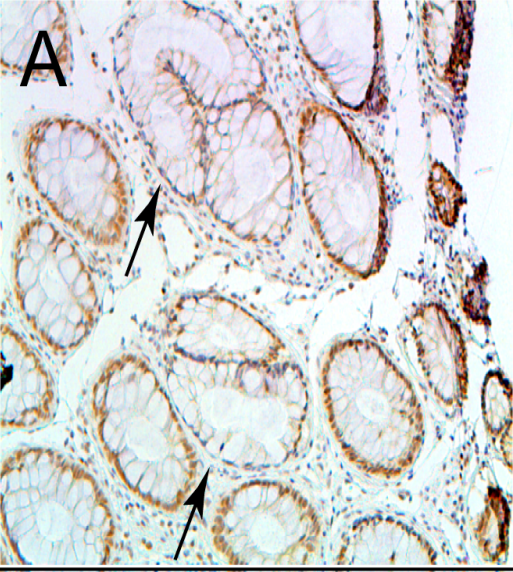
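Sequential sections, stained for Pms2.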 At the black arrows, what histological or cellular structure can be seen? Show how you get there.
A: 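The arrows point to large crypts whose outline encloses more than one lumen-like compartment. Epithelial septa divide these crypts into adjoining parts. These crypts are larger than the surrounding round crypts. The answer: fissioning crypts.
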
